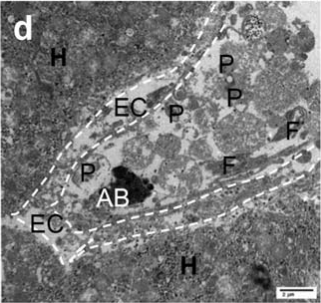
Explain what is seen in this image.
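Liver sinusoid between hepatocytes, lined by endothelial cells and holding aggregates of platelets. Hepatocytes with dense granular cytoplasm flank the sinusoid on both sides. The lumen contains clusters of small, irregular, granular platelets, some lying against the lining. A very electron-dense, clumped apoptotic body lies among them near the lower lining.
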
